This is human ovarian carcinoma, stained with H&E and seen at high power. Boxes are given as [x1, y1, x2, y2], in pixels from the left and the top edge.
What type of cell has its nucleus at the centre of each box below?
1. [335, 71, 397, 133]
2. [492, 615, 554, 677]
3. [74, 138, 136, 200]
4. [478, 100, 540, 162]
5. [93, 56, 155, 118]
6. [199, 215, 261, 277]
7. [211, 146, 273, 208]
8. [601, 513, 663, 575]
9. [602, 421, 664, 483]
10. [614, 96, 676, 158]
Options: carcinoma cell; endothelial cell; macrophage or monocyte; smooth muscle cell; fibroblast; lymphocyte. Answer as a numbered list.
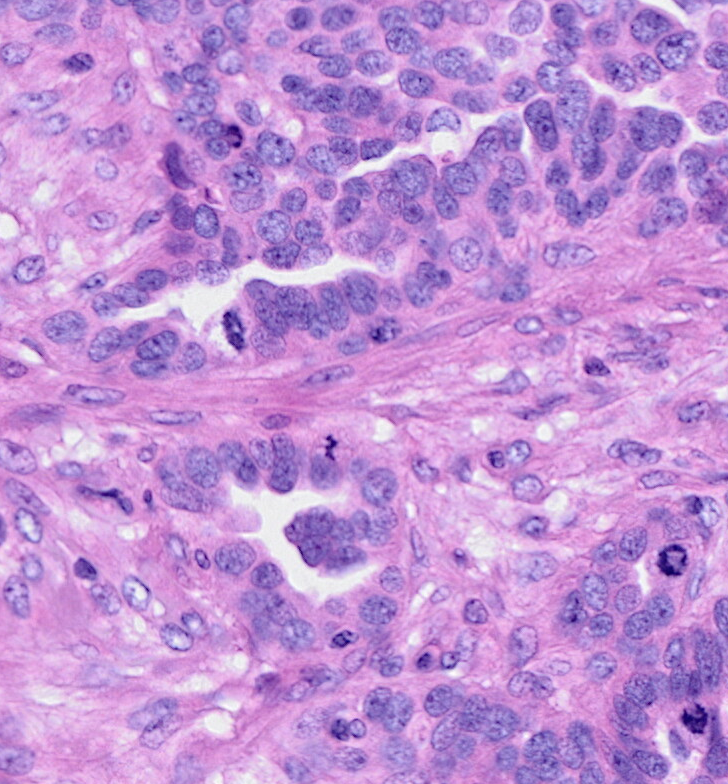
1. carcinoma cell
2. fibroblast
3. fibroblast
4. carcinoma cell
5. fibroblast
6. carcinoma cell
7. carcinoma cell
8. carcinoma cell
9. fibroblast
10. carcinoma cell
